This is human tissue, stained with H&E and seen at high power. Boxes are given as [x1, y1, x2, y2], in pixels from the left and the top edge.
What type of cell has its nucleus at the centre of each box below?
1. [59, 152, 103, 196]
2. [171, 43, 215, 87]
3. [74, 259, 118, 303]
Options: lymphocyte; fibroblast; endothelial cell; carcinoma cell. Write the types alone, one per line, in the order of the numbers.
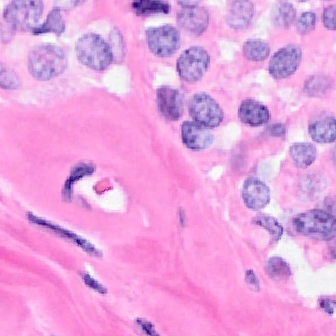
endothelial cell
carcinoma cell
fibroblast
